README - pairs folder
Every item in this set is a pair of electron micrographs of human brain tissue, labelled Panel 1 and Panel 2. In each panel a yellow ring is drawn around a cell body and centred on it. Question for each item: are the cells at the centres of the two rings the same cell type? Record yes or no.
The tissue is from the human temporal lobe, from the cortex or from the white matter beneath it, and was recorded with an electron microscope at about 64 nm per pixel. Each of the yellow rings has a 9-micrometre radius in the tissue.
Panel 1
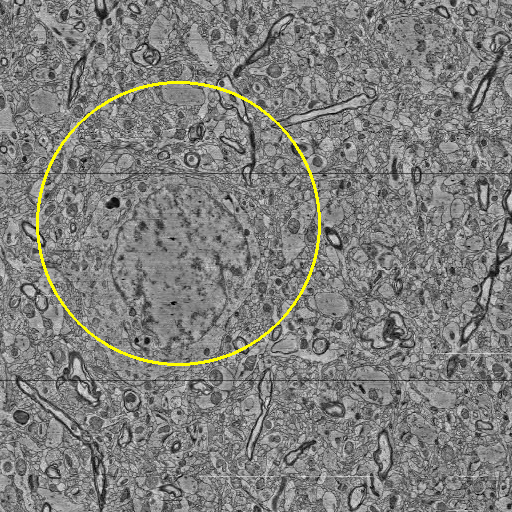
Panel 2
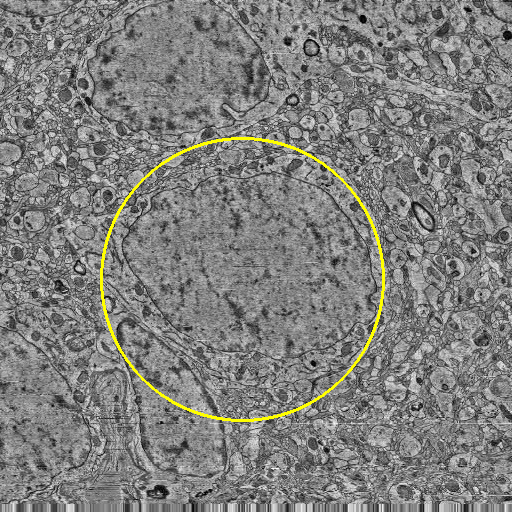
no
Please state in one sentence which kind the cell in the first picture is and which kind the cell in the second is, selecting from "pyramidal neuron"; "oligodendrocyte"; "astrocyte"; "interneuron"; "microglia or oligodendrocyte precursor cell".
The first ringed cell is an interneuron, the second ringed cell a pyramidal neuron.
